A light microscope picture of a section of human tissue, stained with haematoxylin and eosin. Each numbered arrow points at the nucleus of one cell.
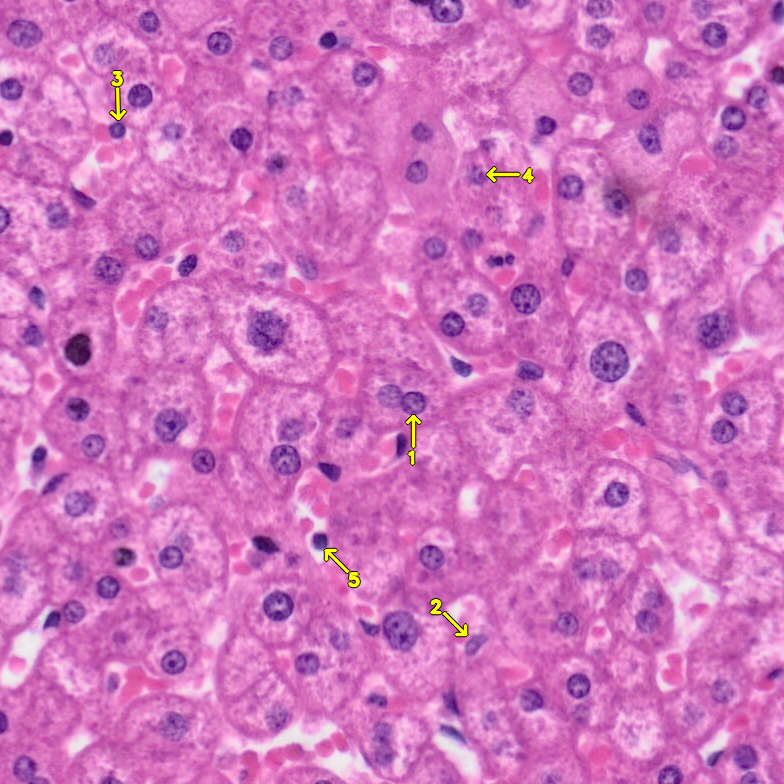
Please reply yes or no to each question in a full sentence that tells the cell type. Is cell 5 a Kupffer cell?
No, the marked cell 5 is not a Kupffer cell, being instead a lymphocyte.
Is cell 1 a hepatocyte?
Yes, the cell that has number 1 is a hepatocyte.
